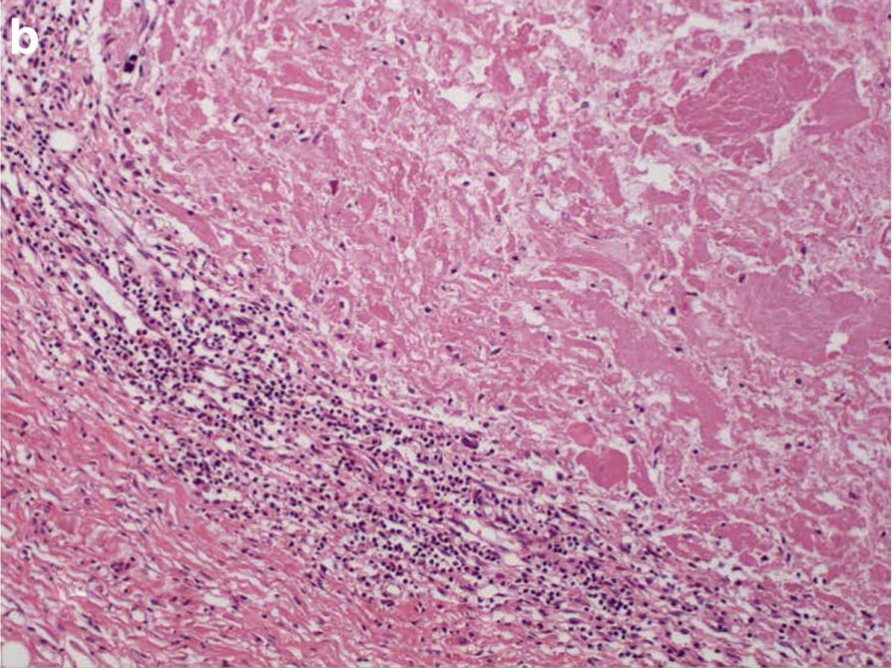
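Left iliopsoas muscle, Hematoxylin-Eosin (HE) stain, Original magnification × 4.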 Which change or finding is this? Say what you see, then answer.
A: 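Necrotic material. Most of the field is pale pink, amorphous, fragmented material with hardly any nuclei. The few nuclei in that area are scattered and poorly defined. Denser pink clumps lie within the pale debris.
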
